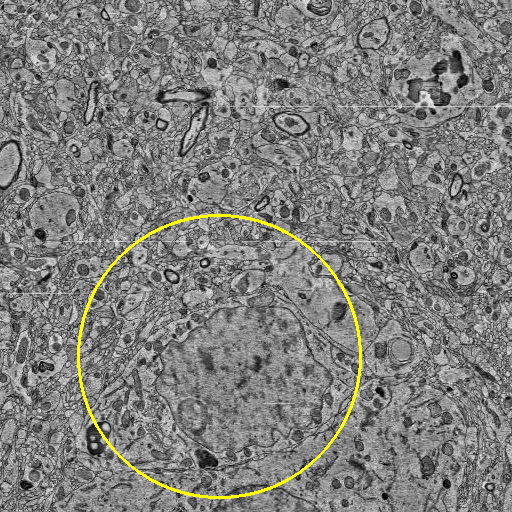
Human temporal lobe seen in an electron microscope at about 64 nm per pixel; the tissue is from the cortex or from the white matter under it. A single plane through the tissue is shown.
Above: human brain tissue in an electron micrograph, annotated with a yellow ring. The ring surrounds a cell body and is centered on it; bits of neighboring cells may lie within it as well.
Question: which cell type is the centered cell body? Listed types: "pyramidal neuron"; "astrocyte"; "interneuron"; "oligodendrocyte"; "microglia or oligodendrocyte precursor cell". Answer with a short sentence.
The centered cell body is an interneuron.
